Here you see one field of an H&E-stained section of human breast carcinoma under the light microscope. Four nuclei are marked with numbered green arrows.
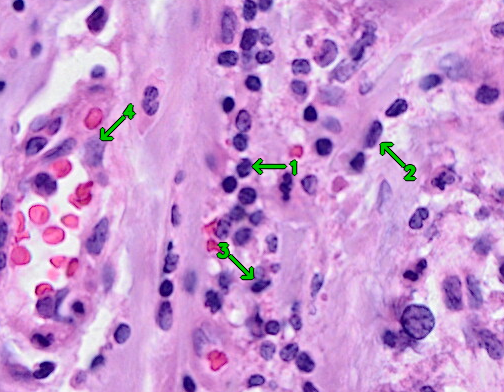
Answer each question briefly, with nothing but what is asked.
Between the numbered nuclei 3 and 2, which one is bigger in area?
2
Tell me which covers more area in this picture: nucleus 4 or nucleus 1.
4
